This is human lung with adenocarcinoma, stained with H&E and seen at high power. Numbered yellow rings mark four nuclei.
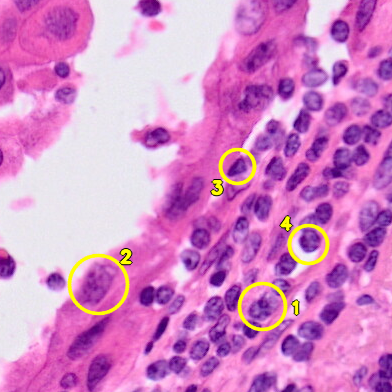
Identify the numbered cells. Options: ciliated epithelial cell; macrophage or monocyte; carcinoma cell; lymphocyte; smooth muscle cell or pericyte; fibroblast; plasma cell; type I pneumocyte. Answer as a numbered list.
1. lymphocyte
2. carcinoma cell
3. lymphocyte
4. lymphocyte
